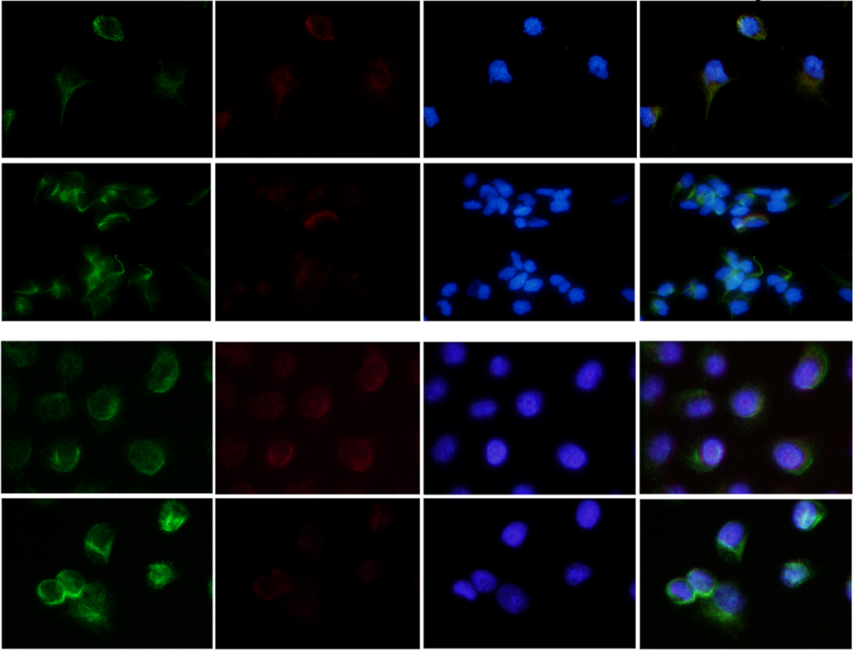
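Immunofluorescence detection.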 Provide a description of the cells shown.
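The cells grow sparsely or in small loose groups. Each cell has a single rounded to oval blue nucleus that fills much of the cell. The green signal lies in the cytoplasm around the nucleus and is often brightest as a rim along the cell edge. The red signal is faint and diffuse in the cytoplasm. In the merged images the green outlines the cells around their blue nuclei, with only slight red.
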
